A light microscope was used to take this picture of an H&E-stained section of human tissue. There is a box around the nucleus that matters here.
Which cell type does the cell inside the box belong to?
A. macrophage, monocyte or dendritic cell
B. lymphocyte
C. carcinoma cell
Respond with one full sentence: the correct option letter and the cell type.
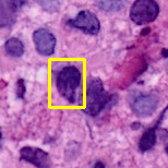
The item is answered by option C: the cell inside the box is a carcinoma cell.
